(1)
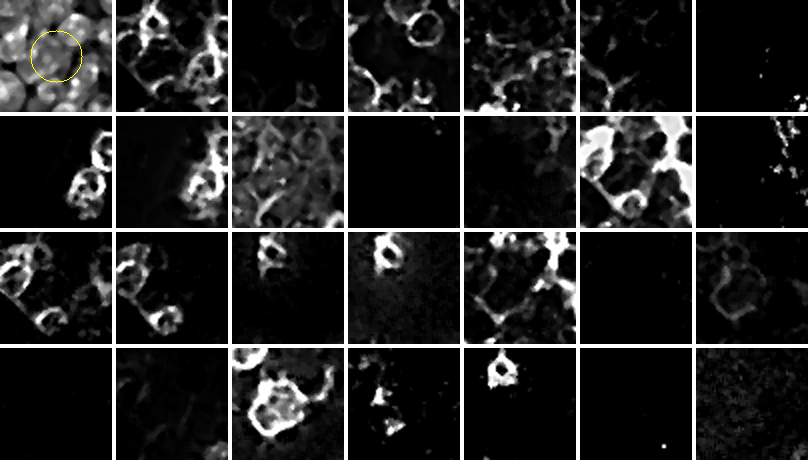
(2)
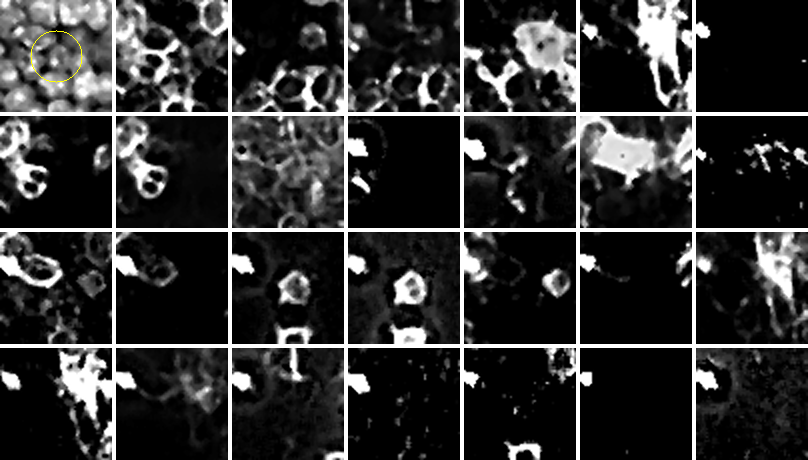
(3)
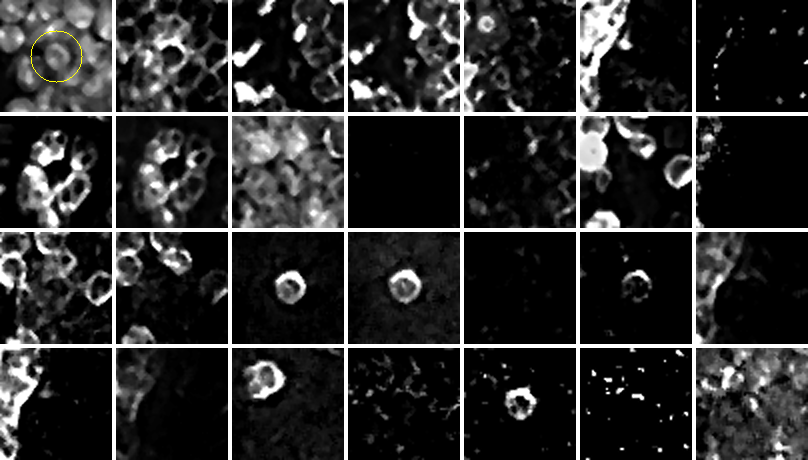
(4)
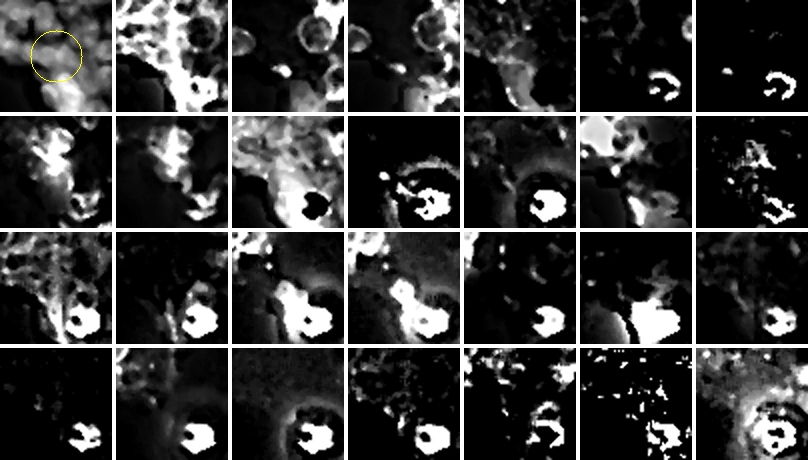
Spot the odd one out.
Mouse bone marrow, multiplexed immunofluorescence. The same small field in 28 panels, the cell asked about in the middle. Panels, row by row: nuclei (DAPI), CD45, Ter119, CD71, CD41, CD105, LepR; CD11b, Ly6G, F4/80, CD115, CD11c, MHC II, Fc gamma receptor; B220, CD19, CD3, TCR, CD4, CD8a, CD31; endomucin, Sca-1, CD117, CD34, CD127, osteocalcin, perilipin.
Picture 1 (a megakaryocyte-erythroid progenitor among double-negative T cells).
